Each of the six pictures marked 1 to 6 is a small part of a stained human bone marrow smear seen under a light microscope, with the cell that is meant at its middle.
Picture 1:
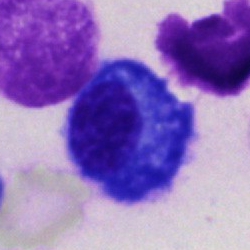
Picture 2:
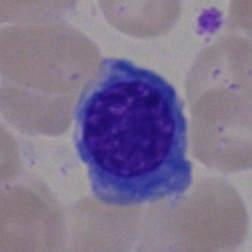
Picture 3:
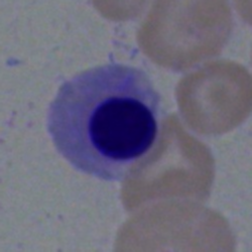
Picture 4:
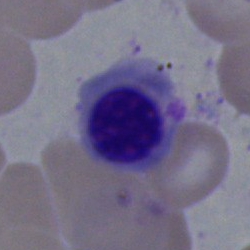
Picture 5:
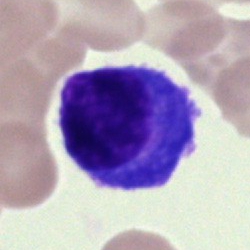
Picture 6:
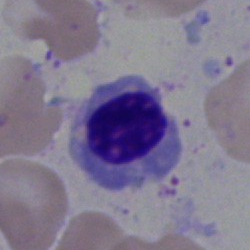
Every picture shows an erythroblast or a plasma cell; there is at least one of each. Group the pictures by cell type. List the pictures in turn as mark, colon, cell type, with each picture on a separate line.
1: plasma cell
2: erythroblast
3: erythroblast
4: erythroblast
5: plasma cell
6: erythroblast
